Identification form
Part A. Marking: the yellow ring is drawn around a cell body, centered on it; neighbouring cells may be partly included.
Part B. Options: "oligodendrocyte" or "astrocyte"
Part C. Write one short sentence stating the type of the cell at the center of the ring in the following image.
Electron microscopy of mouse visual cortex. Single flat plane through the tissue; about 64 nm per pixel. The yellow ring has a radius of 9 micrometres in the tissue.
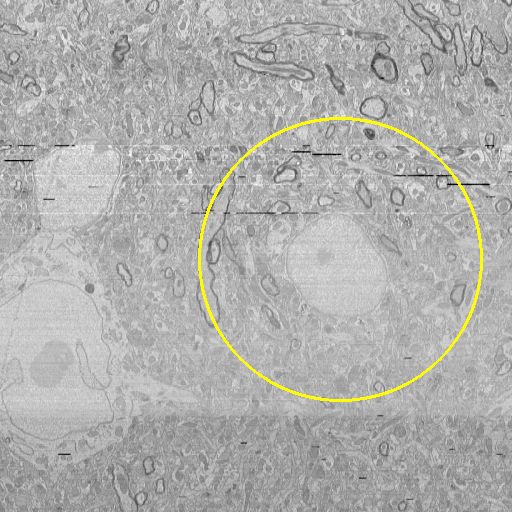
The center of the ring holds an astrocyte.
